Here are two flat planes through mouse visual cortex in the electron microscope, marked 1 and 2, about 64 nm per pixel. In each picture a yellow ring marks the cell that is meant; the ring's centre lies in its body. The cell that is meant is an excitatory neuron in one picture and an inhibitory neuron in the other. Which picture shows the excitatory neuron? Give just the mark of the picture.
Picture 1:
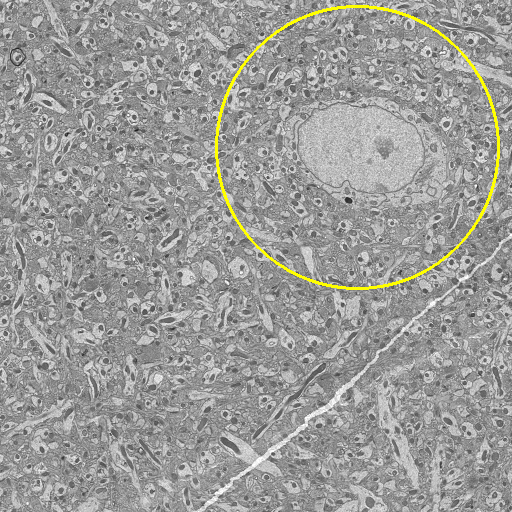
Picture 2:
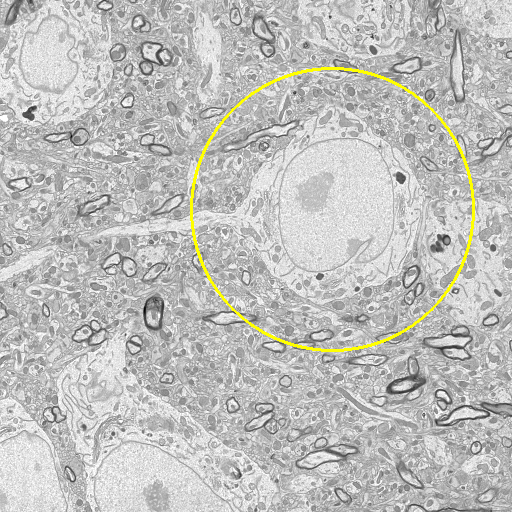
2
